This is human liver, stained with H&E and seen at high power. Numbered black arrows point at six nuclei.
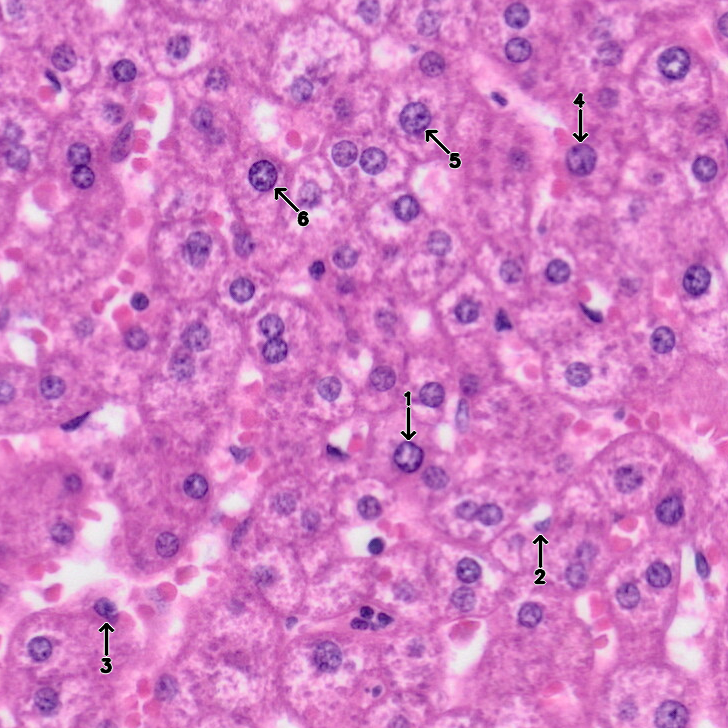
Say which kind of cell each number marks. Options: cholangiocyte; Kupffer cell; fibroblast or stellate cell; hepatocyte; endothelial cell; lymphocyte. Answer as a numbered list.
1. hepatocyte
2. endothelial cell
3. fibroblast or stellate cell
4. hepatocyte
5. hepatocyte
6. hepatocyte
